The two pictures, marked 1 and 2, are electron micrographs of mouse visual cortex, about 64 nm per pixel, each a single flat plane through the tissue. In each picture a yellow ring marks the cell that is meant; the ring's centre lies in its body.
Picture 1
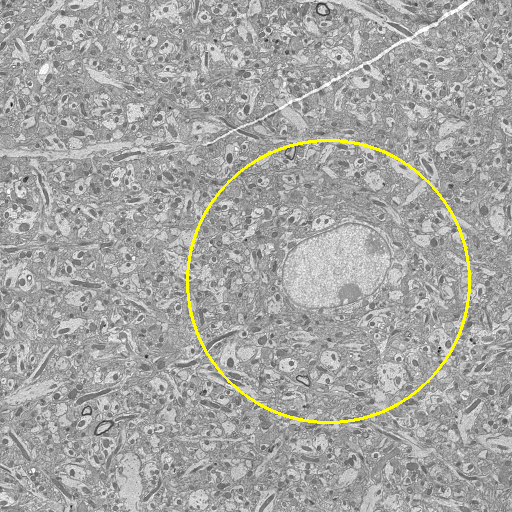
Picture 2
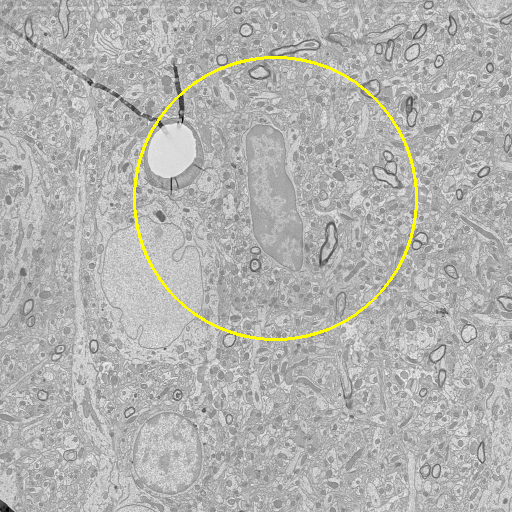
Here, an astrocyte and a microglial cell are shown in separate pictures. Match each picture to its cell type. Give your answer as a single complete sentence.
It is picture 1 that shows an astrocyte, and picture 2 that shows a microglial cell.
